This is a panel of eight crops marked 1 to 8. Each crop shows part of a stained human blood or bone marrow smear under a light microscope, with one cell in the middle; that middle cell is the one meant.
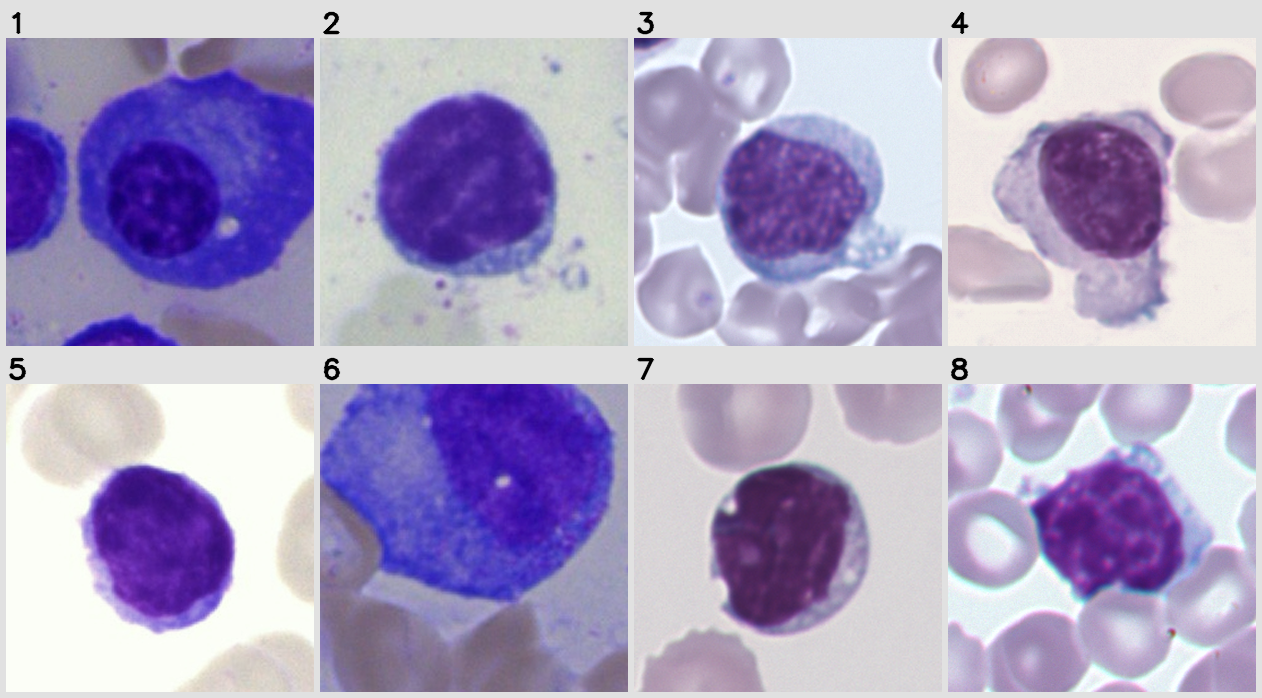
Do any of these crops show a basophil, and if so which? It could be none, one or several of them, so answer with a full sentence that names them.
There is no crop here that shows a basophil.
